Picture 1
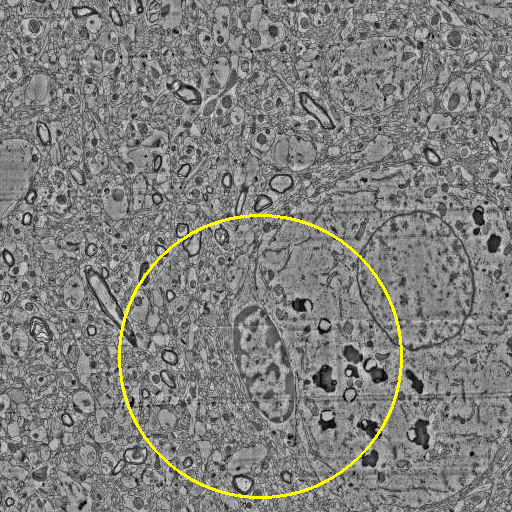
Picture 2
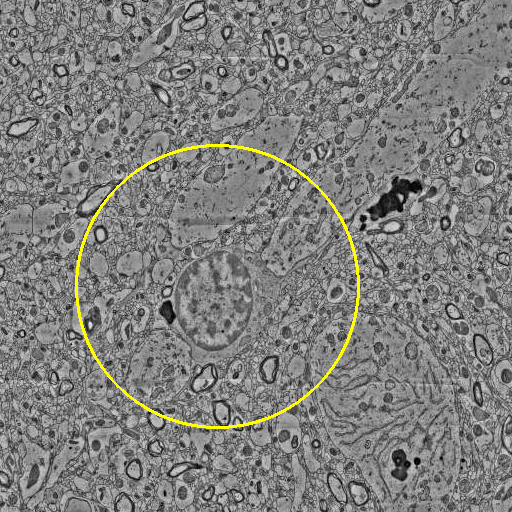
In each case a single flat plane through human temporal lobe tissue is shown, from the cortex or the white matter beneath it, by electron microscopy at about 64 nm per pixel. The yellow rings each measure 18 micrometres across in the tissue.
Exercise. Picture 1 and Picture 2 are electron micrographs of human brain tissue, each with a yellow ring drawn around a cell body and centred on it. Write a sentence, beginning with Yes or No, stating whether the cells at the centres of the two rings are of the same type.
No, the cells at the centres of the rings are of two types.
